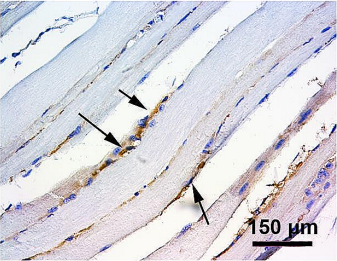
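Muscular tissue with long, parallel myocytes running diagonally across the field, their cytoplasm pale and nuclei small, elongated and blue at the fiber edges. Thin, flattened brown-stained cells lie squeezed between neighbouring fibers, juxtaposed with the myocytes.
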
